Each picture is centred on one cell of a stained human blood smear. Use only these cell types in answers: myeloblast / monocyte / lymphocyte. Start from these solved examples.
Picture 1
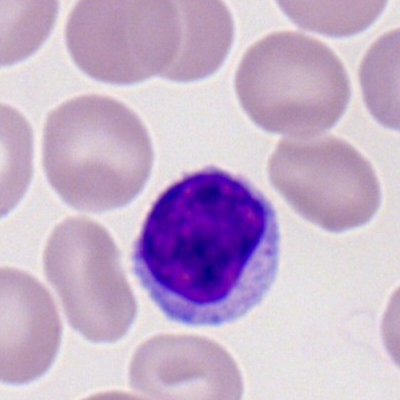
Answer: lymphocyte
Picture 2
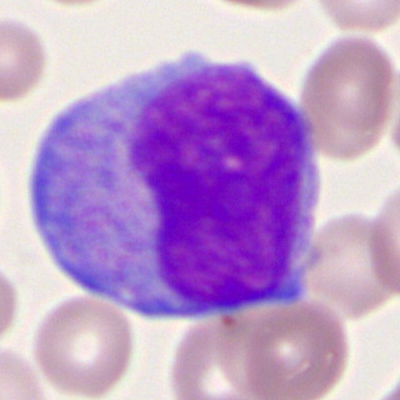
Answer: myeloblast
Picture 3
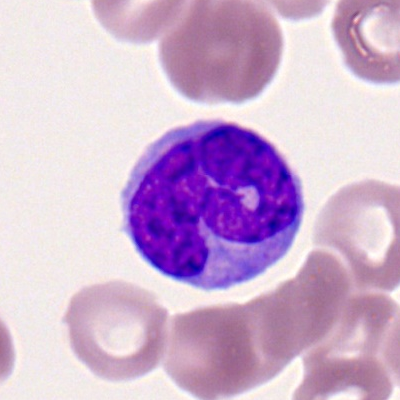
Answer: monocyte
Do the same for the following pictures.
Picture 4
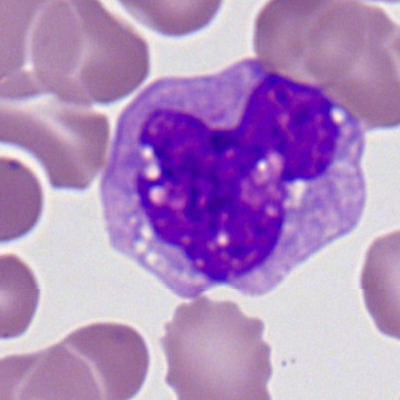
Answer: monocyte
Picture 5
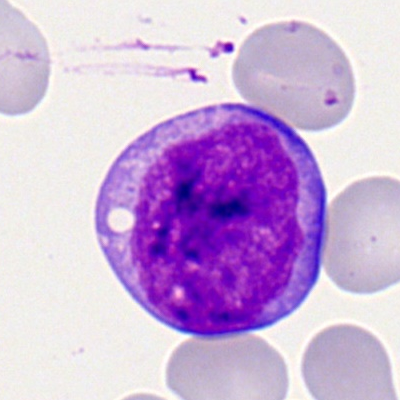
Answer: myeloblast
